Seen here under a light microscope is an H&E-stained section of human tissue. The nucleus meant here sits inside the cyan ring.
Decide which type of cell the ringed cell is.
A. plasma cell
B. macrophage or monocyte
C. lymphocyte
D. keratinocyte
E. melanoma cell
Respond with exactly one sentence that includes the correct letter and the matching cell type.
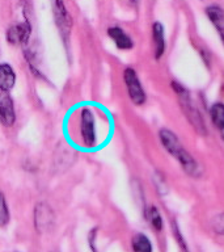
Among the choices, option C is correct, the ringed cell being a lymphocyte.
